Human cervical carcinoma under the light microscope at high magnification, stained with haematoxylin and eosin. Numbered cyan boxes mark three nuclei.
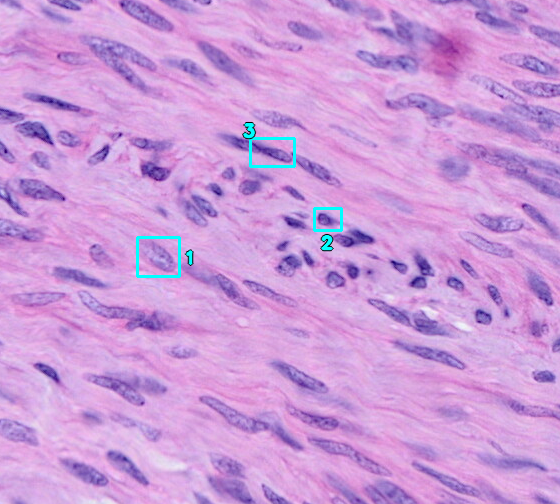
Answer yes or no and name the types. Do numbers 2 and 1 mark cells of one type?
No, mate, cell 2 is a fibroblast and cell 1 is a smooth muscle cell.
